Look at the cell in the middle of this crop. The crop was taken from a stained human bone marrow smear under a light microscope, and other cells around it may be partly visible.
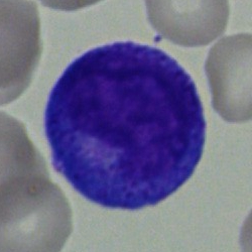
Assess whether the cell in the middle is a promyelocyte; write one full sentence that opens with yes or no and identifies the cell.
Yes, the cell at the very centre of the crop is a promyelocyte.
